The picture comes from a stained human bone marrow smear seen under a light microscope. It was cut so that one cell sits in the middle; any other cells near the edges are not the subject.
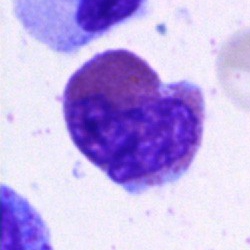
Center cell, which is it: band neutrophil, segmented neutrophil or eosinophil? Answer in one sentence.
The central cell in this smear crop is an eosinophil.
